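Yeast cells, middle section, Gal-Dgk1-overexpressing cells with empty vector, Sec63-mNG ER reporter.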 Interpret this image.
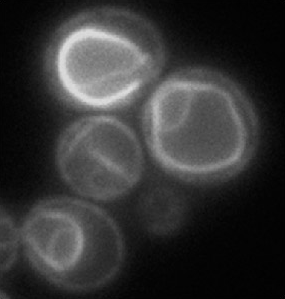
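The rims are thick and intensely bright in several cells, with doubled or layered membrane sheets. Little diffuse signal fills the cytoplasm between the rings. Cells of differing size lie packed against one another.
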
